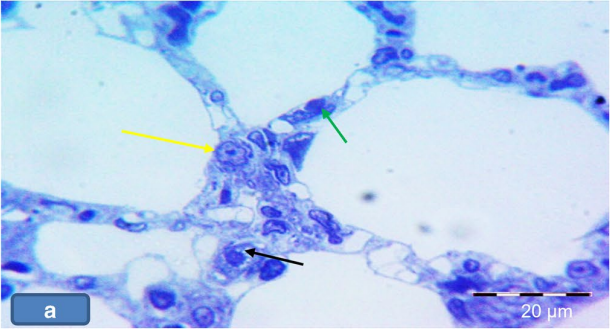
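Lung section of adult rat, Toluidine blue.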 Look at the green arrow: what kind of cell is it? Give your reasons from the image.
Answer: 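Pneumocyte type I. The marked cell lies in a thin alveolar wall. Its nucleus is small, dark and flattened.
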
